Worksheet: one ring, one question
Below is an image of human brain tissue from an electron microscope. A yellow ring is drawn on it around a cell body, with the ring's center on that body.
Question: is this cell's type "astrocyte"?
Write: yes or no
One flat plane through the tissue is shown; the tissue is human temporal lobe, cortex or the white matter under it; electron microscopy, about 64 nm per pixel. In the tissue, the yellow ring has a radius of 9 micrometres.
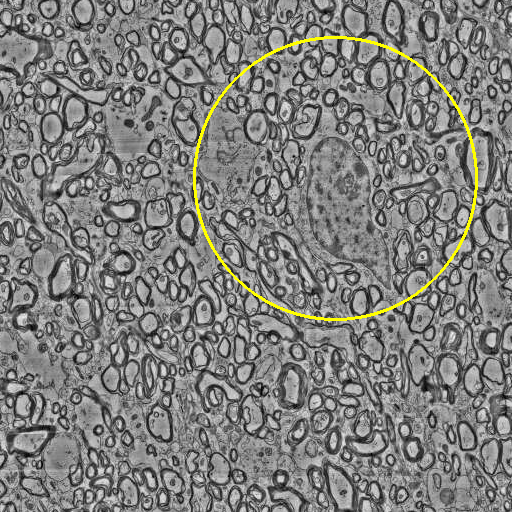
no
